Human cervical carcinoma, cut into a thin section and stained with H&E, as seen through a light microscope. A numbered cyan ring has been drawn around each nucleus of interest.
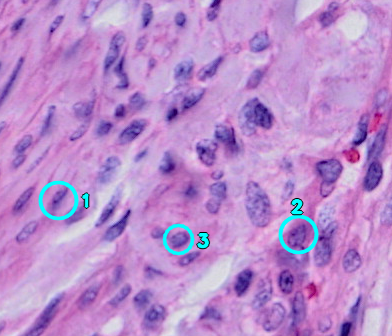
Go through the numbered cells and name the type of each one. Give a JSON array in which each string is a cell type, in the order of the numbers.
["smooth muscle cell", "endothelial cell", "smooth muscle cell"]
